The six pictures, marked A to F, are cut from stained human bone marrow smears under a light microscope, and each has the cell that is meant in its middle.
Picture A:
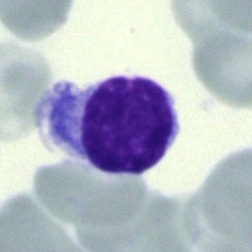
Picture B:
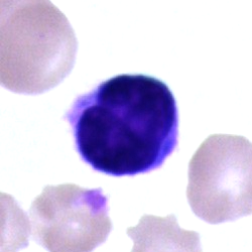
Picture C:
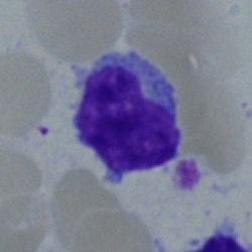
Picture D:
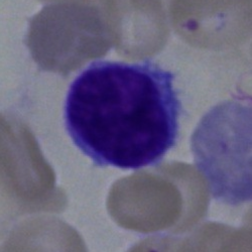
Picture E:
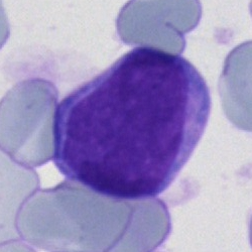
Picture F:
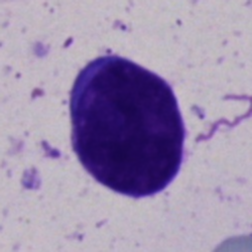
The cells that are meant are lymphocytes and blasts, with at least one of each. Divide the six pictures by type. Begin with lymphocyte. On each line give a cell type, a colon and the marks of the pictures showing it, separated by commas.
lymphocyte: A, B, C, D
blast: E, F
